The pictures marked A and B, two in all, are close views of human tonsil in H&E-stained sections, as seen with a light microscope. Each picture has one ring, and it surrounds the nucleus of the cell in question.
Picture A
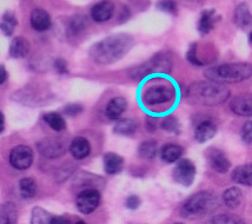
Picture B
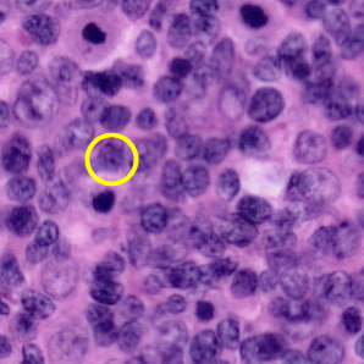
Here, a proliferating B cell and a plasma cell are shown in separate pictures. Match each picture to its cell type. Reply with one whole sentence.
The cell in picture A is a plasma cell, and the one in picture B is a proliferating B cell.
